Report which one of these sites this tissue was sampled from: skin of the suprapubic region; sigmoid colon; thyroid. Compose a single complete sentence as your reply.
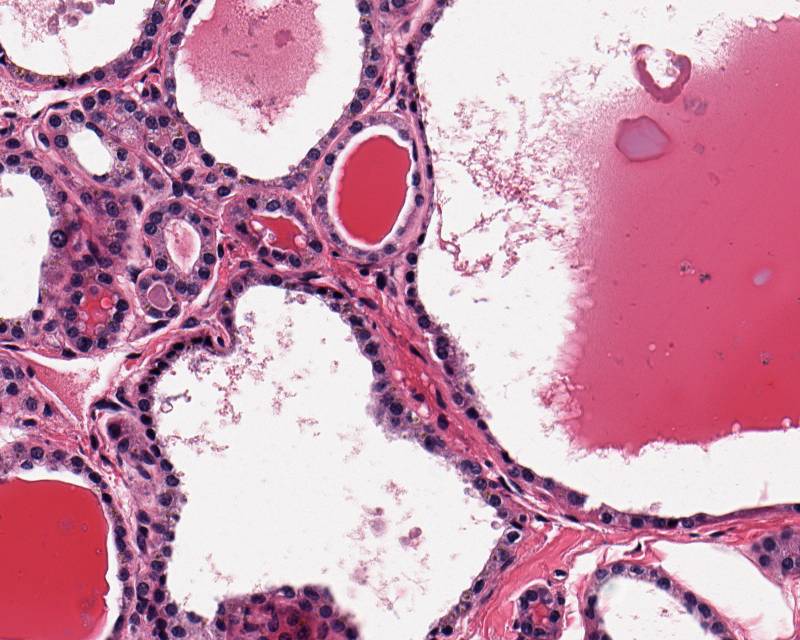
It was the thyroid that provided this tissue sample.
